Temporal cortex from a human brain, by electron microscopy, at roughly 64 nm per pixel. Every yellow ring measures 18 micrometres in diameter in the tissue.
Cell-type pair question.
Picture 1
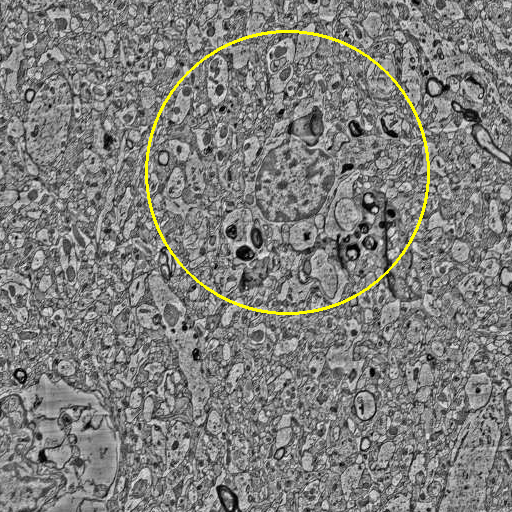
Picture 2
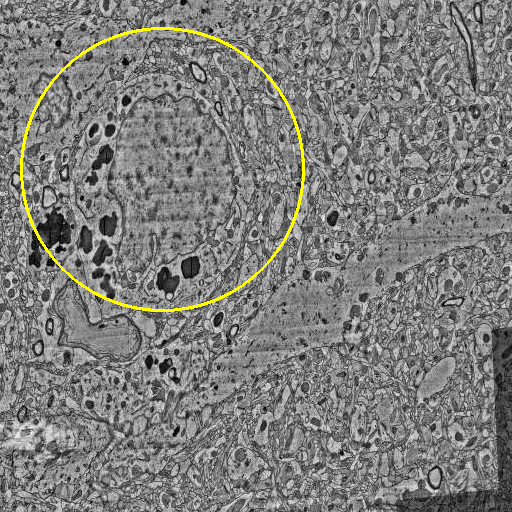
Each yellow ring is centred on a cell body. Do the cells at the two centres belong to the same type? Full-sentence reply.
No, the two cells belong to two types.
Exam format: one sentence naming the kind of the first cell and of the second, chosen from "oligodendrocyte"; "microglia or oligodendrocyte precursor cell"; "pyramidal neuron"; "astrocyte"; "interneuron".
The first picture's cell is a microglial cell or oligodendrocyte precursor cell, and the second picture's cell is an interneuron.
